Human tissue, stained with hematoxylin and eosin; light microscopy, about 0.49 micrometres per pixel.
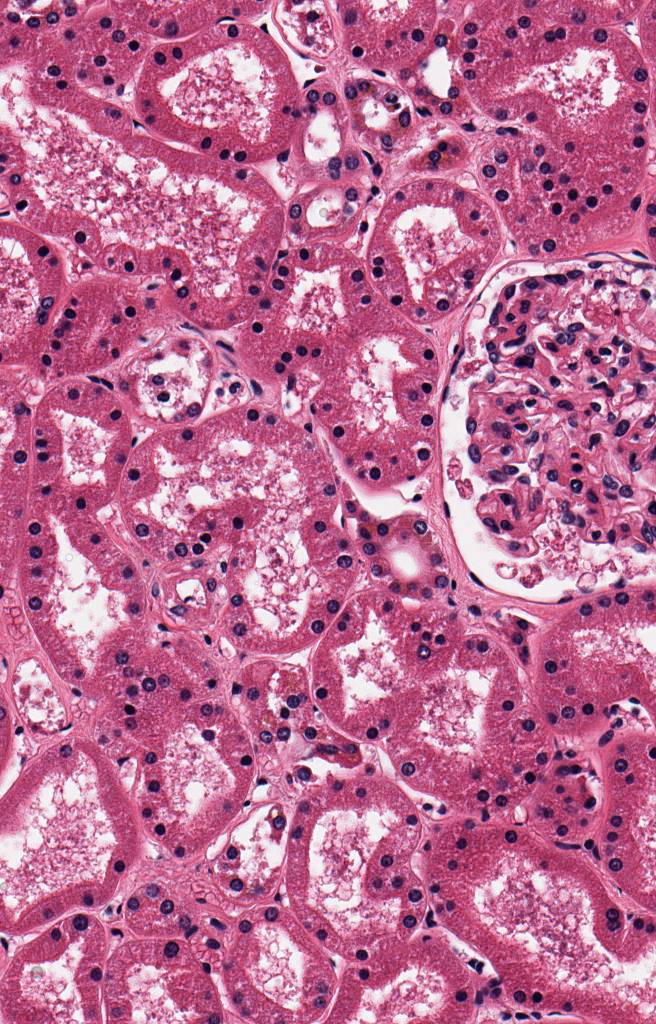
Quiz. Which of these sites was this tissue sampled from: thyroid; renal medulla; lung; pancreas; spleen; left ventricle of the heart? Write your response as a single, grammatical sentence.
The sample used for this section is from the renal medulla.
